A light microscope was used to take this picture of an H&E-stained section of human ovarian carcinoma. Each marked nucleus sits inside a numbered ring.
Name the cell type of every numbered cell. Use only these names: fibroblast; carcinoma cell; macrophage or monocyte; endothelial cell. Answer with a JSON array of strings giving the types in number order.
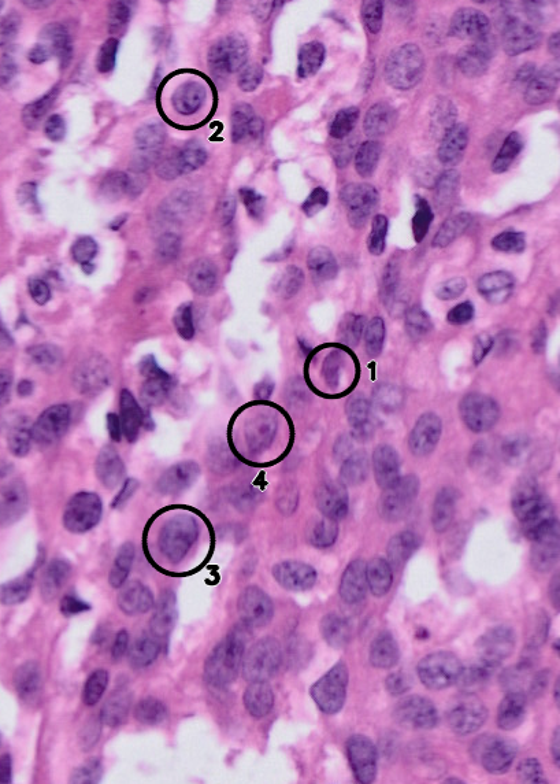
["carcinoma cell", "macrophage or monocyte", "carcinoma cell", "carcinoma cell"]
